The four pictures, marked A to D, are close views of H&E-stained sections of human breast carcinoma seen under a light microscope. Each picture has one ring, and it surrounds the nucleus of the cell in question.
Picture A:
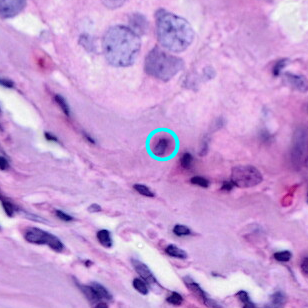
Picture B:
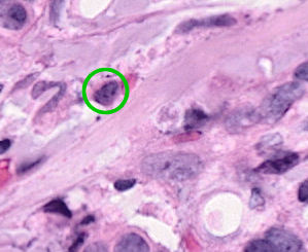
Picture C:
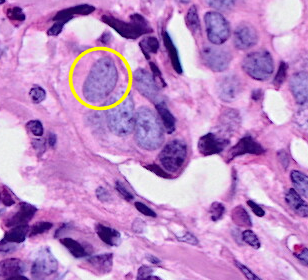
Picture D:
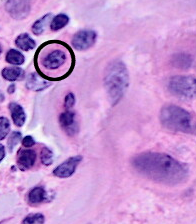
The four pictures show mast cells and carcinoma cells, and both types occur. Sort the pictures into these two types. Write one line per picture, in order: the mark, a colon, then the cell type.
A: mast cell
B: mast cell
C: carcinoma cell
D: mast cell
